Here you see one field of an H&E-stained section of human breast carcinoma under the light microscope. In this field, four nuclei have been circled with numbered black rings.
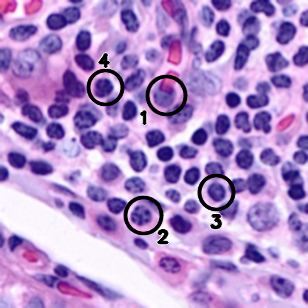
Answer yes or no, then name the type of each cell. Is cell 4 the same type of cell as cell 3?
Yes, cells 4 and 3 fall into the same group, both being lymphocytes.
